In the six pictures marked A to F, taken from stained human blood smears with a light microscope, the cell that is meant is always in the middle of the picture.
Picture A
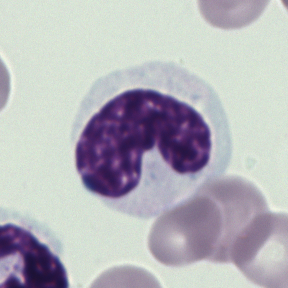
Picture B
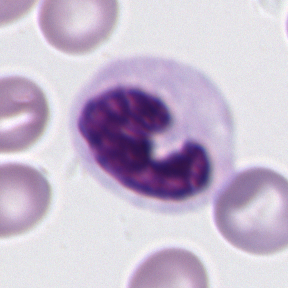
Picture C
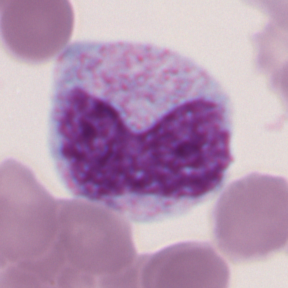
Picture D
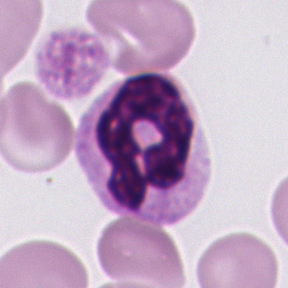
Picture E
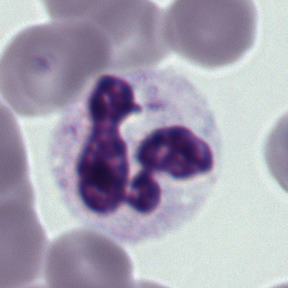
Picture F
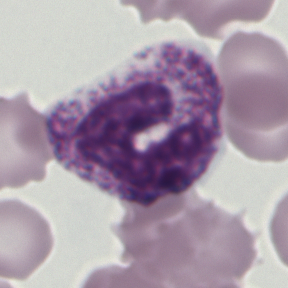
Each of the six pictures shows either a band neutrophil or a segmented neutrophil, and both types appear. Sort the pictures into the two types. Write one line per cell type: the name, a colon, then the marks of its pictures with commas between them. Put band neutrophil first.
band neutrophil: A, B, C, F
segmented neutrophil: D, E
